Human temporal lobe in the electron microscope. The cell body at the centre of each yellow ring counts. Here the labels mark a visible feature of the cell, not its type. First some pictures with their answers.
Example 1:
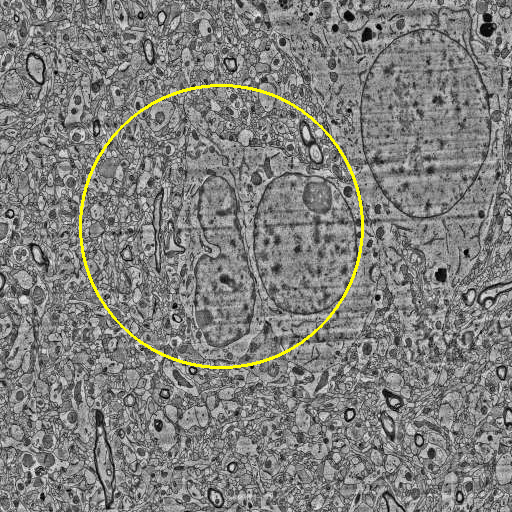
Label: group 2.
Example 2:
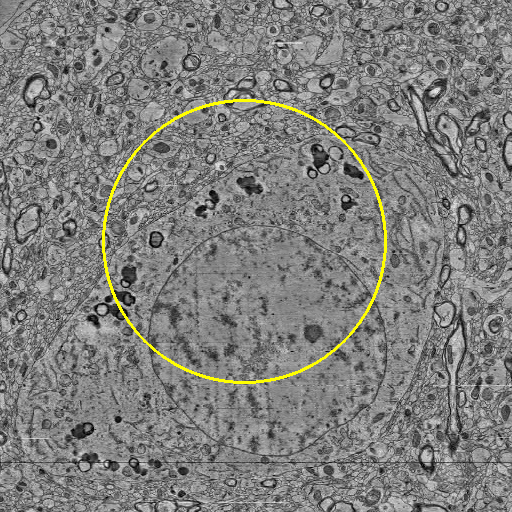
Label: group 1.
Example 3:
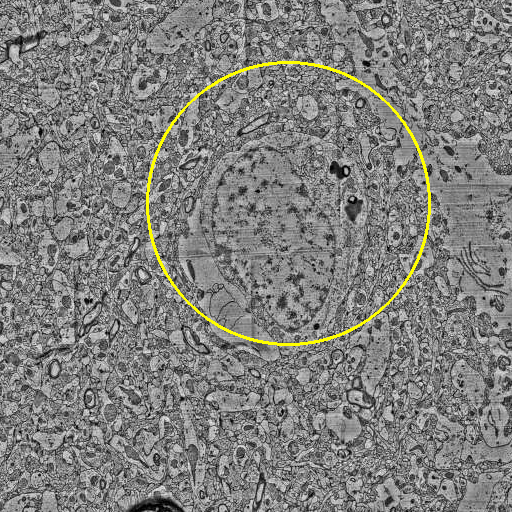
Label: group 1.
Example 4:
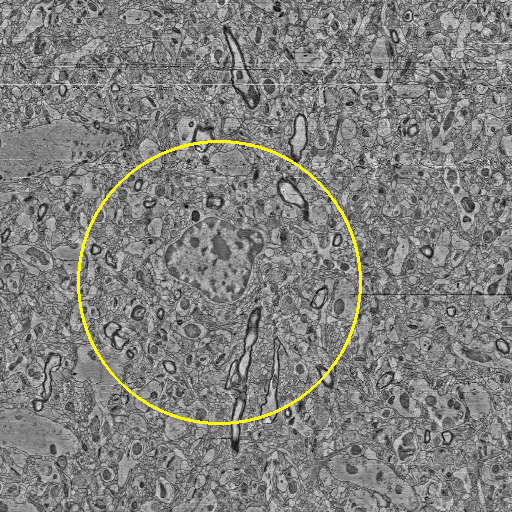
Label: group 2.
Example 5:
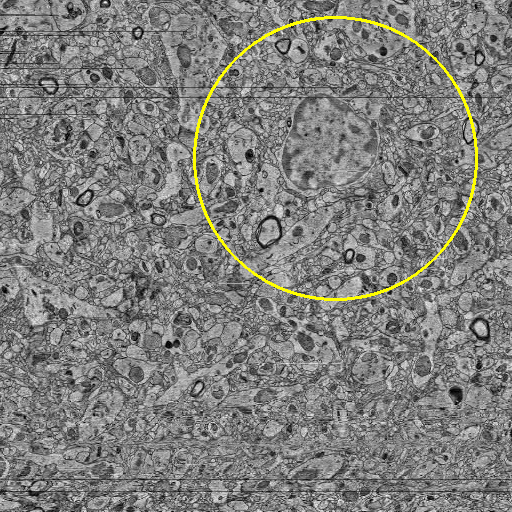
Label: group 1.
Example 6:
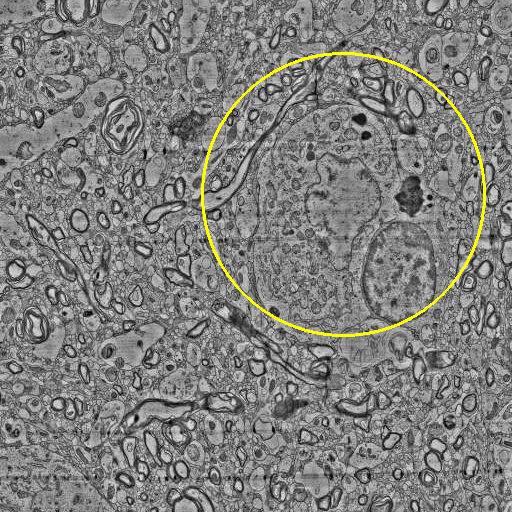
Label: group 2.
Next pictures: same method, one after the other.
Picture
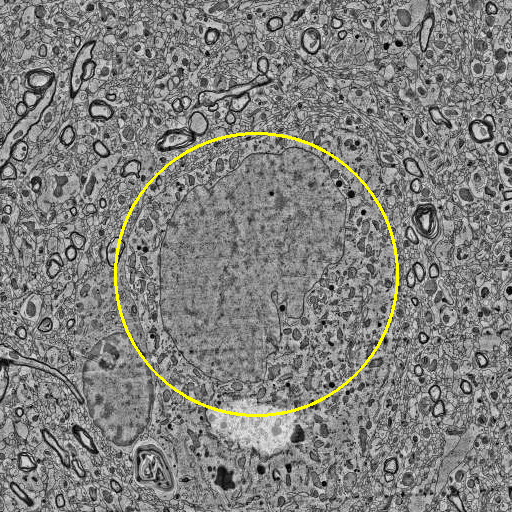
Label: group 2.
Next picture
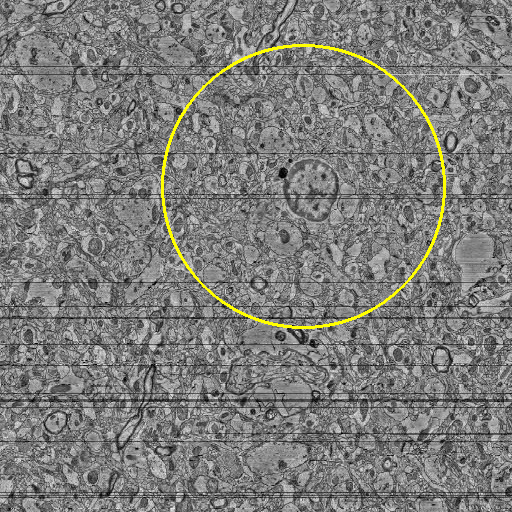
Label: group 2.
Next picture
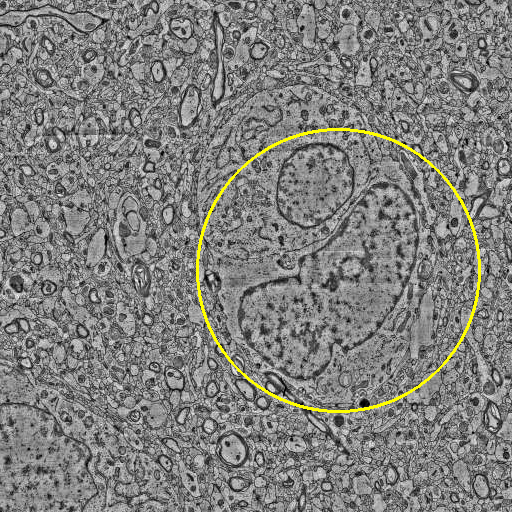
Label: group 2.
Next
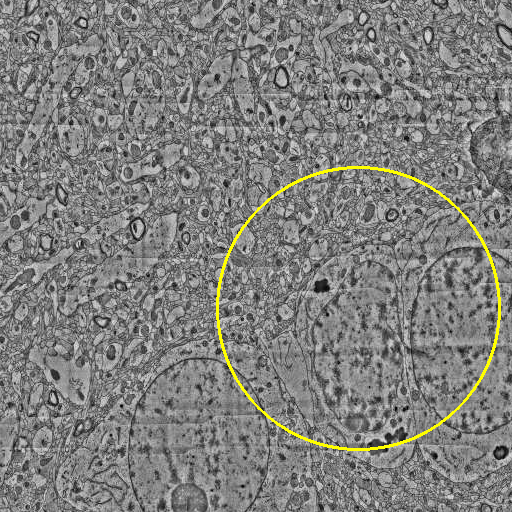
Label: group 1.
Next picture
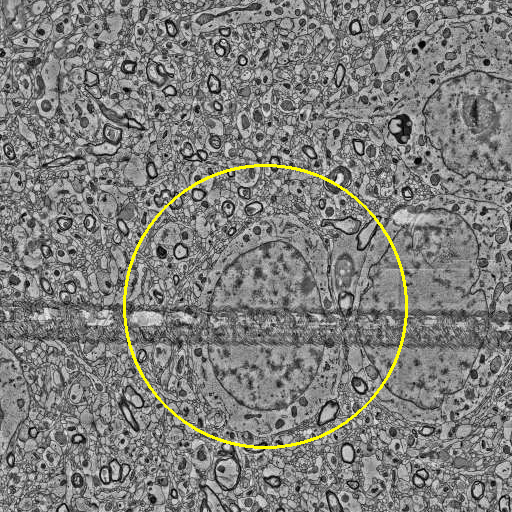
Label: group 1.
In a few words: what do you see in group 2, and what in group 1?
group 2: deeply folded or indented nuclear envelopes; group 1: smooth nuclear envelopes without deep folds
